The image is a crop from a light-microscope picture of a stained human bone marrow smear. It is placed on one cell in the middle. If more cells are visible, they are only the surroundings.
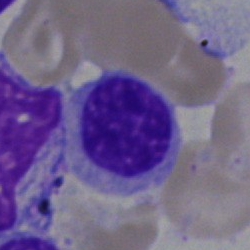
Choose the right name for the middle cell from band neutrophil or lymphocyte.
lymphocyte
